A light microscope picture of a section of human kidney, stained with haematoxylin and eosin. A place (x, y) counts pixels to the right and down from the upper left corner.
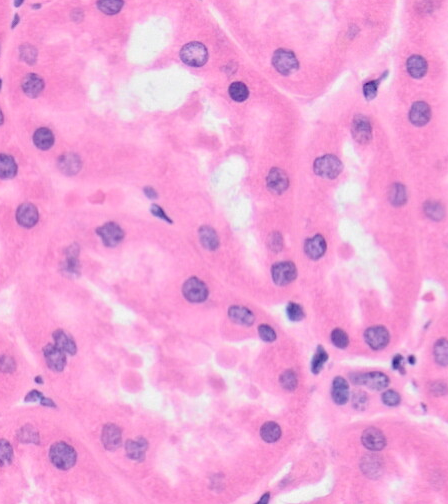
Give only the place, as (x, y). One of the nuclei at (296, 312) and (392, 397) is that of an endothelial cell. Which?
(296, 312)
